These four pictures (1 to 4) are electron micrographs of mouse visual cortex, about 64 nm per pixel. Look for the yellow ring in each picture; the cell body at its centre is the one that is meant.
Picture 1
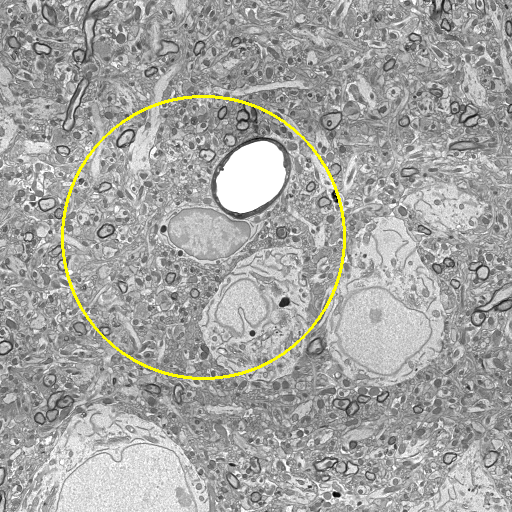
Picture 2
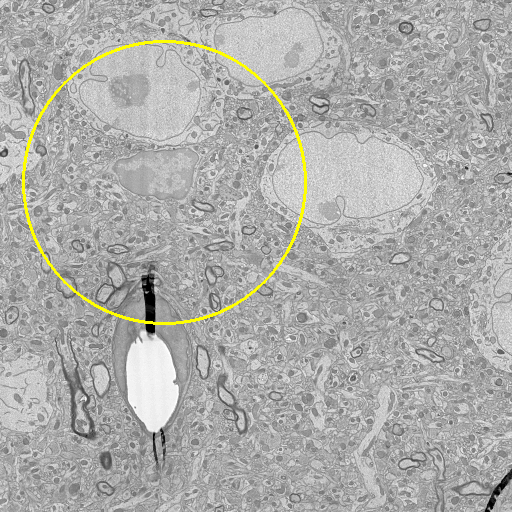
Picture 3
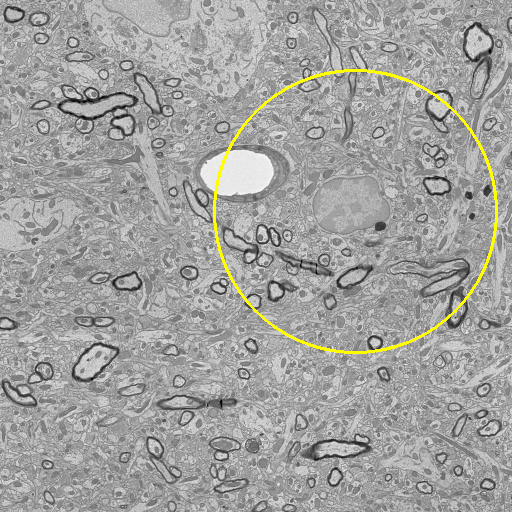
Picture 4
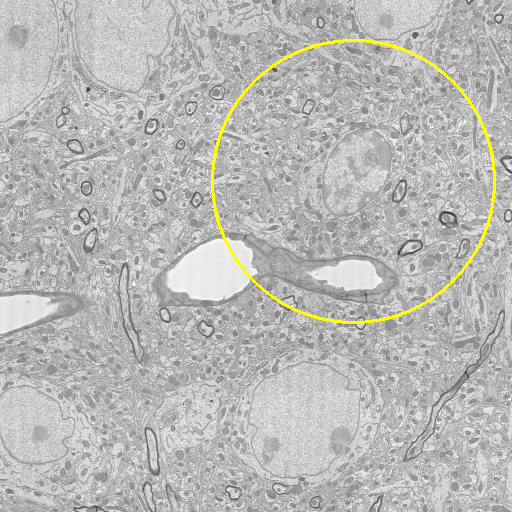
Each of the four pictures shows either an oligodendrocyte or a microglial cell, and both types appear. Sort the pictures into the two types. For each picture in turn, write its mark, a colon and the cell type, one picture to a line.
1: microglial cell
2: microglial cell
3: microglial cell
4: oligodendrocyte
